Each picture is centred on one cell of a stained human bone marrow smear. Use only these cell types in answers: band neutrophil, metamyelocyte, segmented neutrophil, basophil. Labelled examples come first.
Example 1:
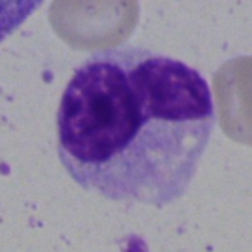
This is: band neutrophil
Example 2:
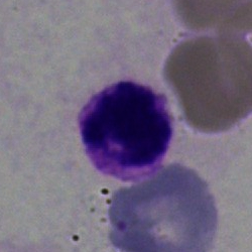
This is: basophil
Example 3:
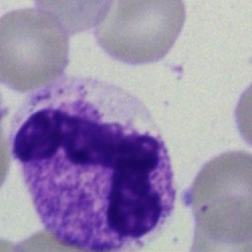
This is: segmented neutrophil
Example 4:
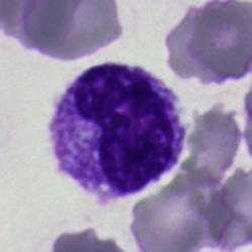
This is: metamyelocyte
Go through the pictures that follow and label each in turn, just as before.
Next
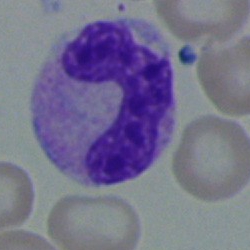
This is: band neutrophil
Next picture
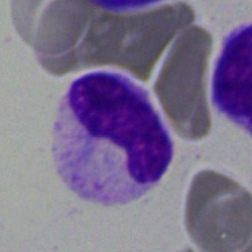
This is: band neutrophil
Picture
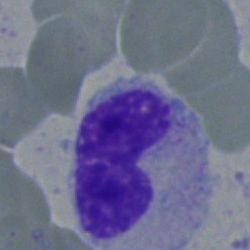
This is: metamyelocyte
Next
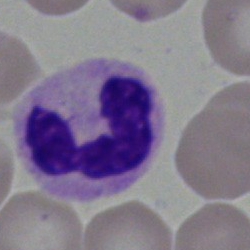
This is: segmented neutrophil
